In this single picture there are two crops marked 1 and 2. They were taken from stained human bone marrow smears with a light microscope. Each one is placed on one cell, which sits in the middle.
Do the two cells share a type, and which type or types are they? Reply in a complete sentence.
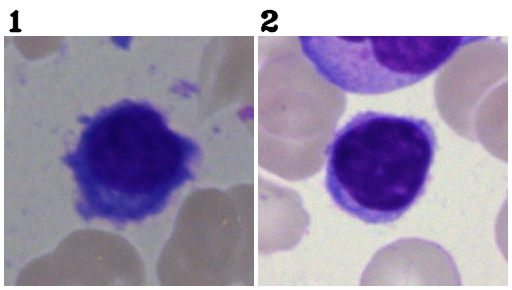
No, the labels go like this: crop 1 is a plasma cell and crop 2 is a lymphocyte.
